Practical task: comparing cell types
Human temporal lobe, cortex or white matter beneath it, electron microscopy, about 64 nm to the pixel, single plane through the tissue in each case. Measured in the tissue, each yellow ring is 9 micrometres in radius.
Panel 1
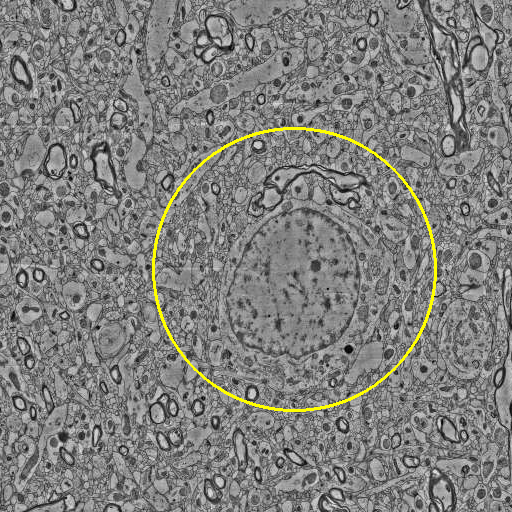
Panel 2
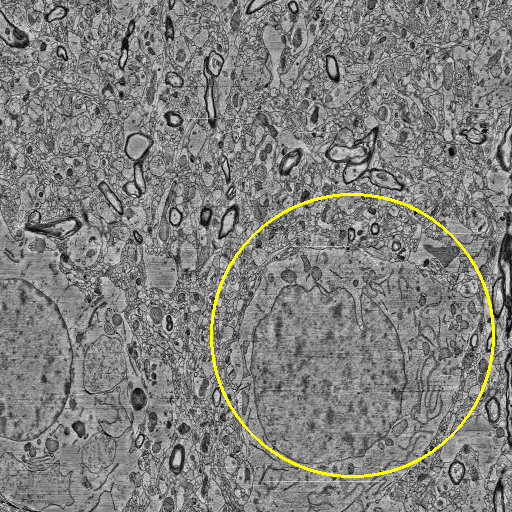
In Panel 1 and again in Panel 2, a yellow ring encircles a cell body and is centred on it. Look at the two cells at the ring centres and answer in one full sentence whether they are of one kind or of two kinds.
The two cells sitting at the ring centres of Panels 1 and 2 are of one kind.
